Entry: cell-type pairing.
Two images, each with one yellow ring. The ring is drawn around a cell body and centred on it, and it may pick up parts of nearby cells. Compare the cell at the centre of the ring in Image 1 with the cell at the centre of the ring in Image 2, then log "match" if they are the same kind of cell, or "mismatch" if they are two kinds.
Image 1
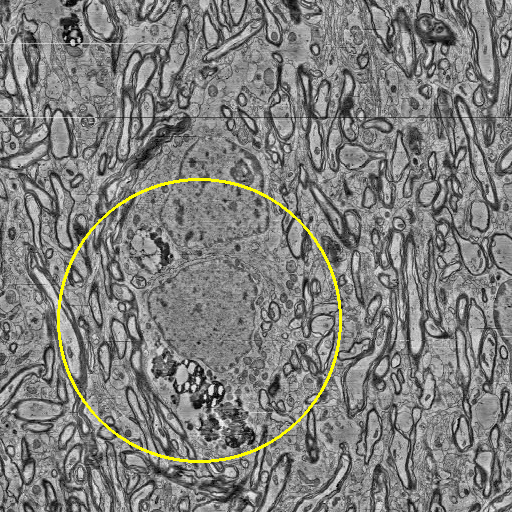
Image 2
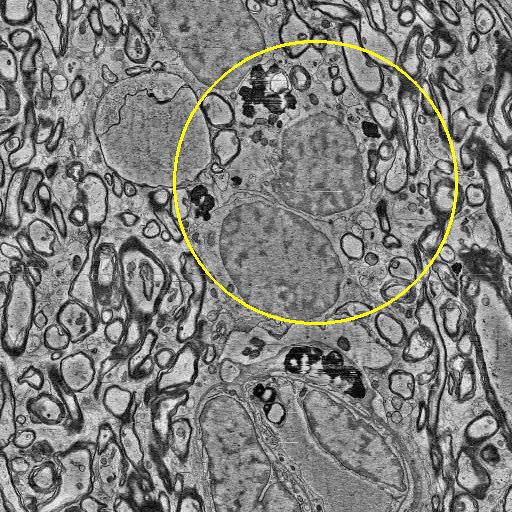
mismatch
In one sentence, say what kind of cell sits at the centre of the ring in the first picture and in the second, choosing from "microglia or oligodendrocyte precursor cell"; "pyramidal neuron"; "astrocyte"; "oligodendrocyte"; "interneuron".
The first picture's ringed cell is an astrocyte, while the second picture's is an oligodendrocyte.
